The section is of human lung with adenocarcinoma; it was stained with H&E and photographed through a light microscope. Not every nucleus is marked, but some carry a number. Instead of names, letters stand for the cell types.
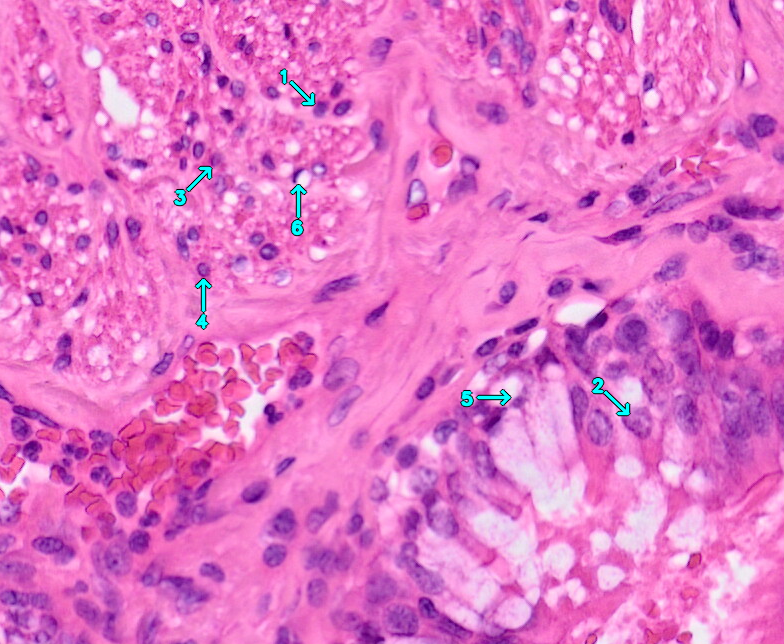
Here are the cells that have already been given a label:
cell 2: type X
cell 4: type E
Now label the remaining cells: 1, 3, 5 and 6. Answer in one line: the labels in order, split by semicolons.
type E; type E; type X; type E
